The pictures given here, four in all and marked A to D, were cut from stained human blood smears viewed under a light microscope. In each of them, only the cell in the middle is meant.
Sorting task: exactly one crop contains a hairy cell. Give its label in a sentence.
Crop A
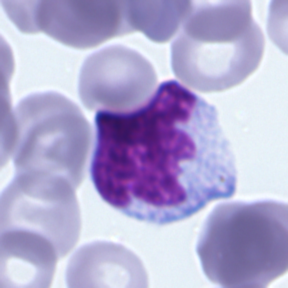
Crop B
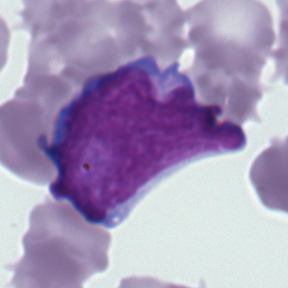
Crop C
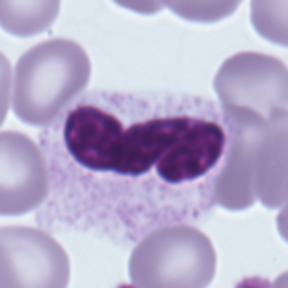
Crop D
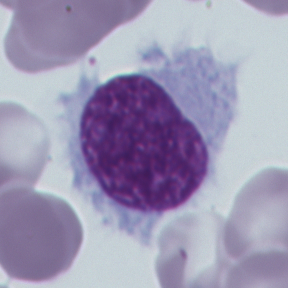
The cell identified as a hairy cell is the one in crop D.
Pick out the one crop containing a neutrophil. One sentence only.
The crop with a neutrophil in it is crop C.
